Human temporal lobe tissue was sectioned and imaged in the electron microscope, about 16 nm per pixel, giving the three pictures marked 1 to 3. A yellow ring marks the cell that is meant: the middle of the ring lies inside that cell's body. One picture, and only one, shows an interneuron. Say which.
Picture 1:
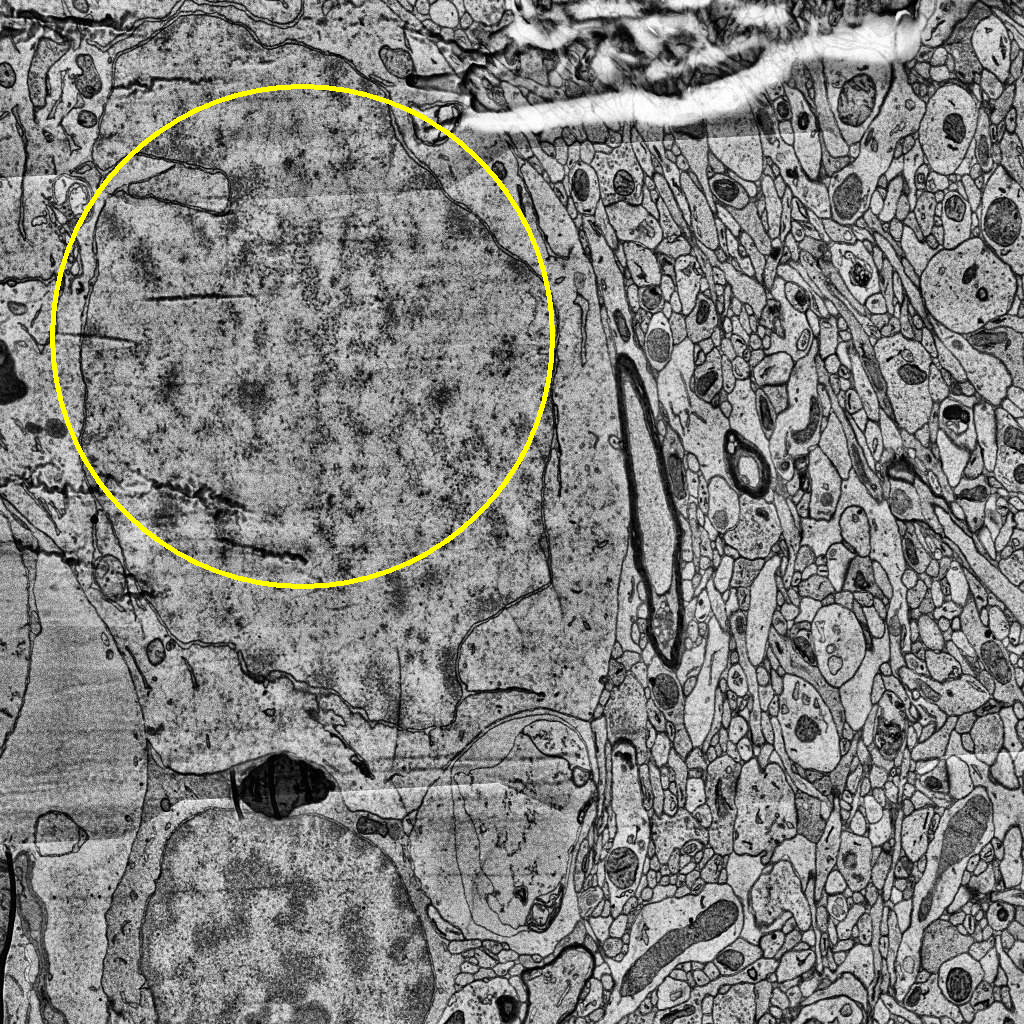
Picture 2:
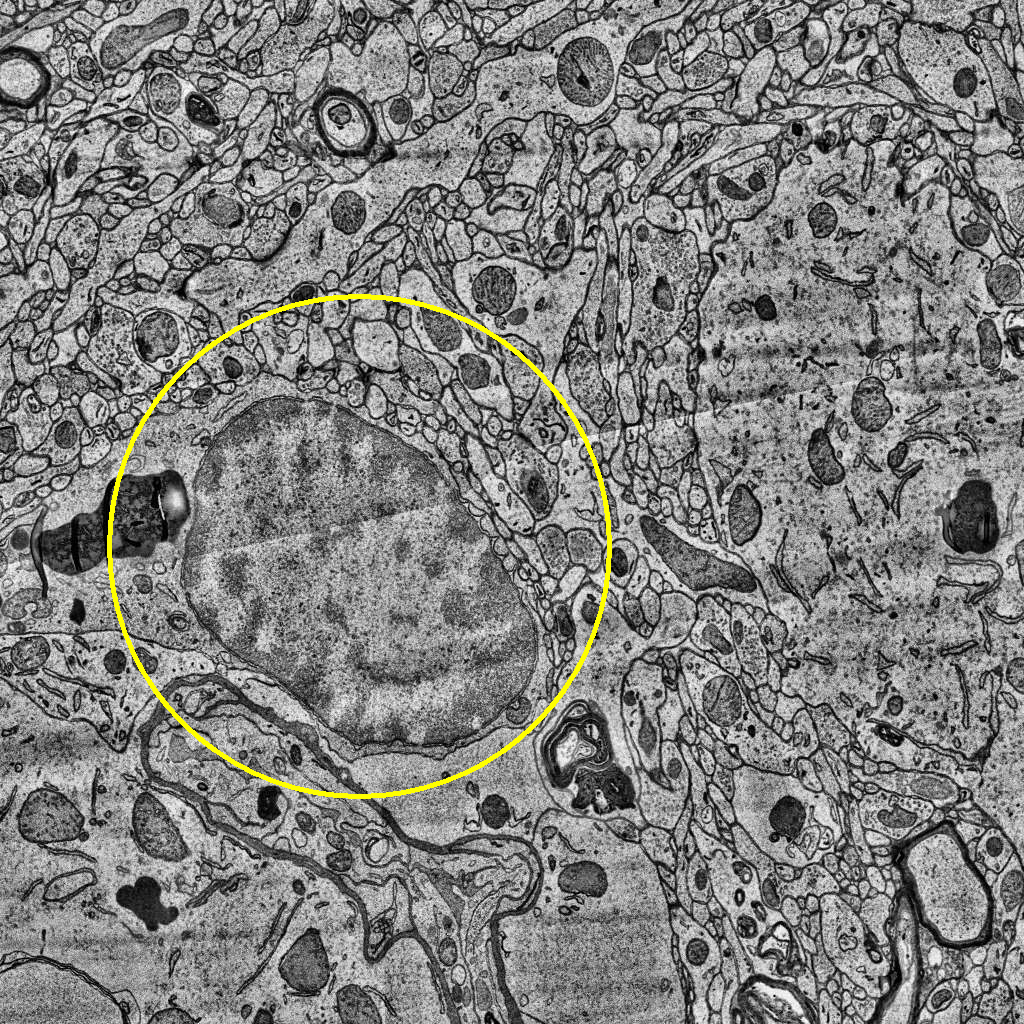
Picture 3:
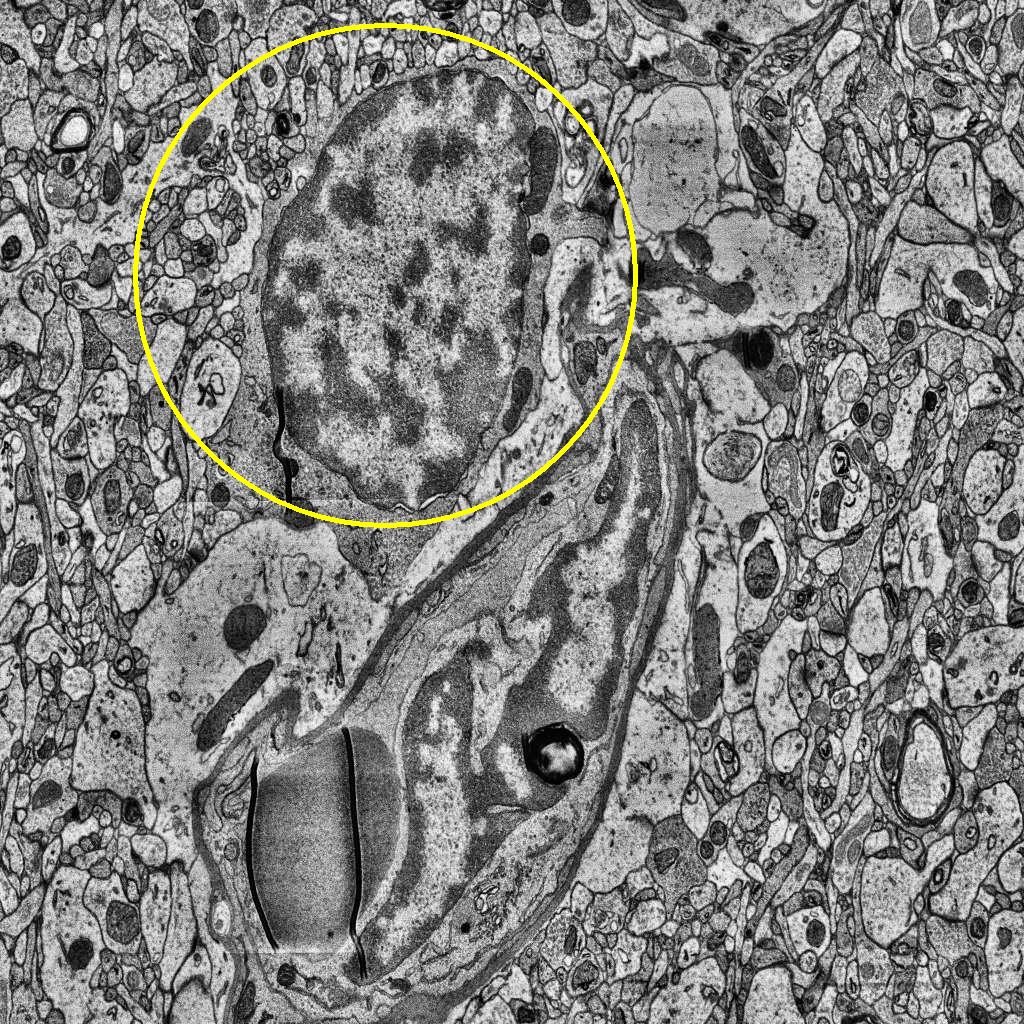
It is picture 1 that shows the interneuron.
